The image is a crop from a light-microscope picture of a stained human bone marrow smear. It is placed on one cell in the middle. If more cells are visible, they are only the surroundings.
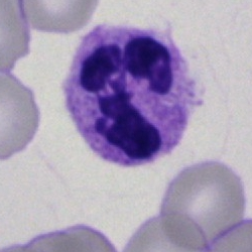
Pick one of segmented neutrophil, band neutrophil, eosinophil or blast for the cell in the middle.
segmented neutrophil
